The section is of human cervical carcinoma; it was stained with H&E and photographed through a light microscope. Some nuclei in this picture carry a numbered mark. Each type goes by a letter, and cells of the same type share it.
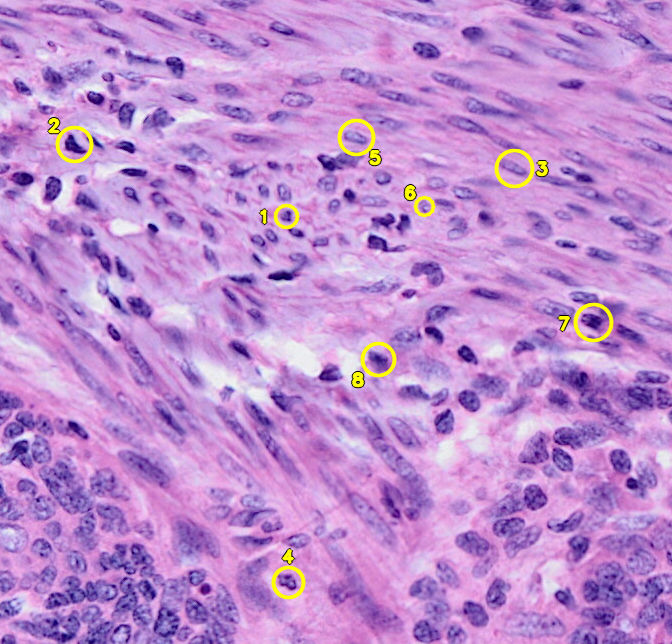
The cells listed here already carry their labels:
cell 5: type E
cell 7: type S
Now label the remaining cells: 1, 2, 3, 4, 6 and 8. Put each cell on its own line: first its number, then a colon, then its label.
1: type E
2: type S
3: type E
4: type S
6: type E
8: type S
